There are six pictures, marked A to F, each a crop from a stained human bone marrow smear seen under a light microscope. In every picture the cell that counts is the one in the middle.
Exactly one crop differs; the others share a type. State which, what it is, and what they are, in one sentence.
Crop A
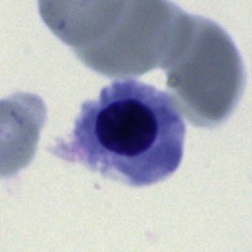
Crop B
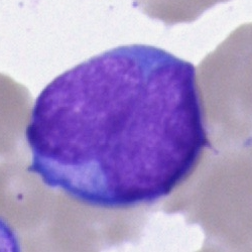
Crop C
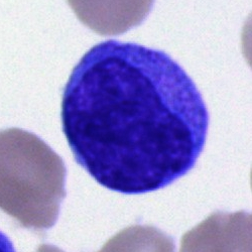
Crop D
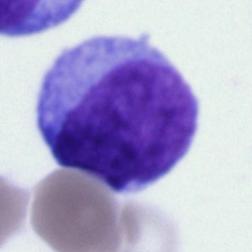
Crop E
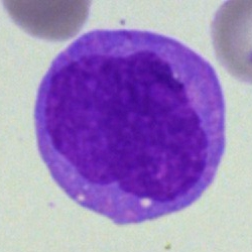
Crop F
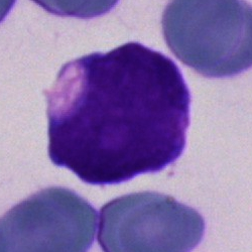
The crops all show blasts, with the exception of crop A, which shows an erythroblast.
